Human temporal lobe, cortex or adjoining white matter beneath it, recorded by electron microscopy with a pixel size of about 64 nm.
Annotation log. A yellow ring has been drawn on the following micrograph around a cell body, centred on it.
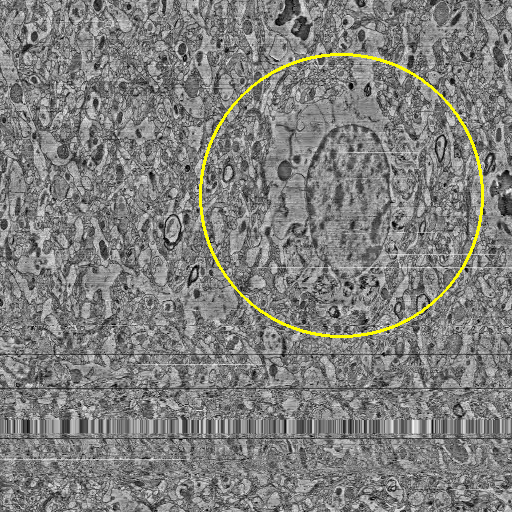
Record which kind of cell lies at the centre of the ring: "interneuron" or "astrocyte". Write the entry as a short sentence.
The cell the ring is centred on is an astrocyte.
